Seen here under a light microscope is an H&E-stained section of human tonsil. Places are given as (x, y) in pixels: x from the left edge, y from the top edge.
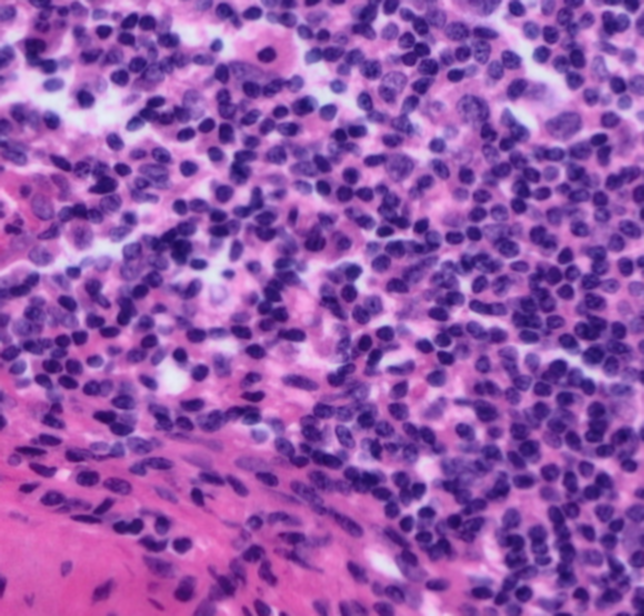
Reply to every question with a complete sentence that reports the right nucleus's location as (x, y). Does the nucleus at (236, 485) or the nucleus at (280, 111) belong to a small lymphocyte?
The nucleus found at (280, 111) belongs to a small lymphocyte.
